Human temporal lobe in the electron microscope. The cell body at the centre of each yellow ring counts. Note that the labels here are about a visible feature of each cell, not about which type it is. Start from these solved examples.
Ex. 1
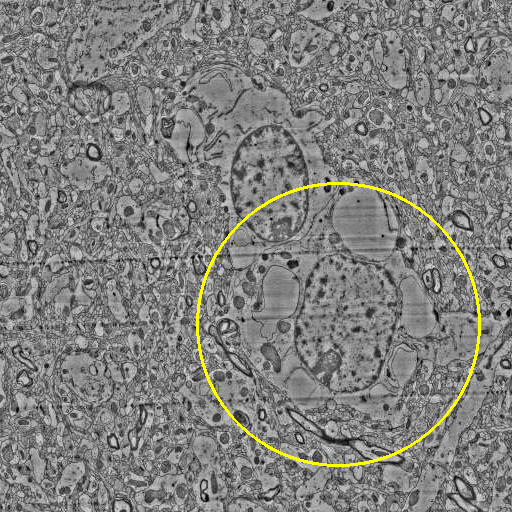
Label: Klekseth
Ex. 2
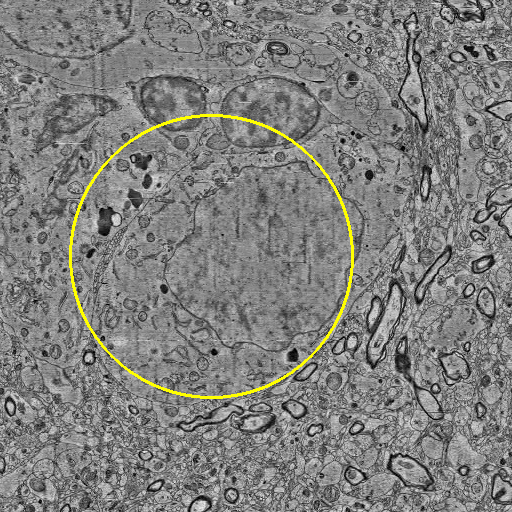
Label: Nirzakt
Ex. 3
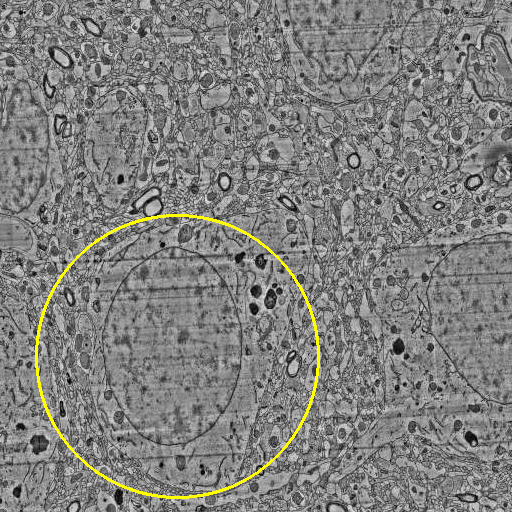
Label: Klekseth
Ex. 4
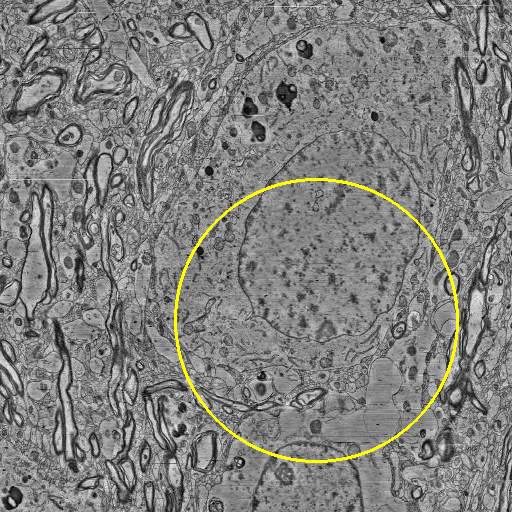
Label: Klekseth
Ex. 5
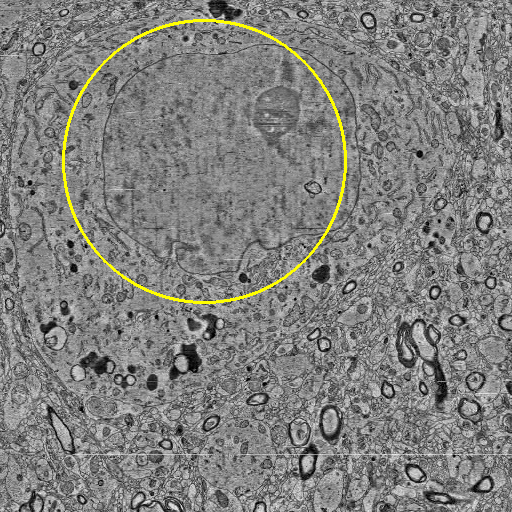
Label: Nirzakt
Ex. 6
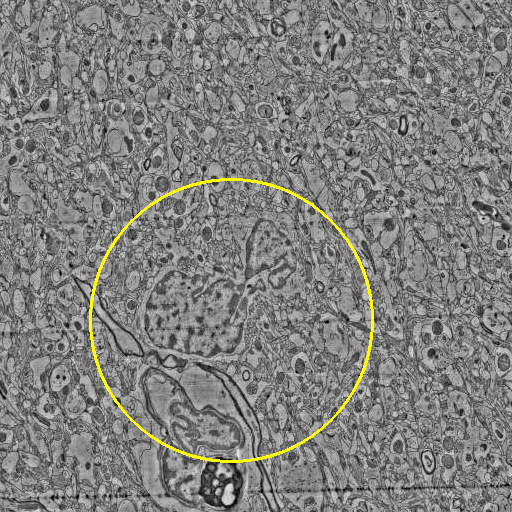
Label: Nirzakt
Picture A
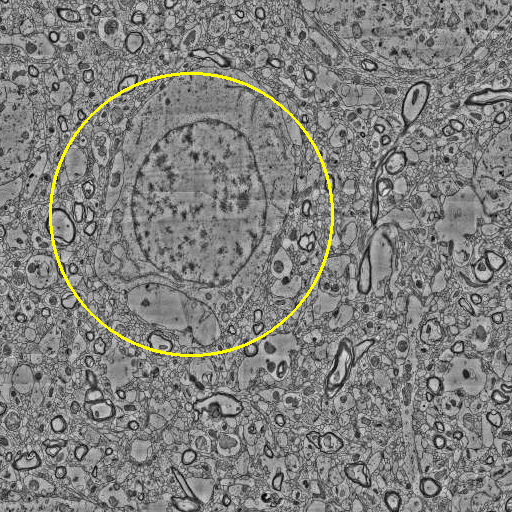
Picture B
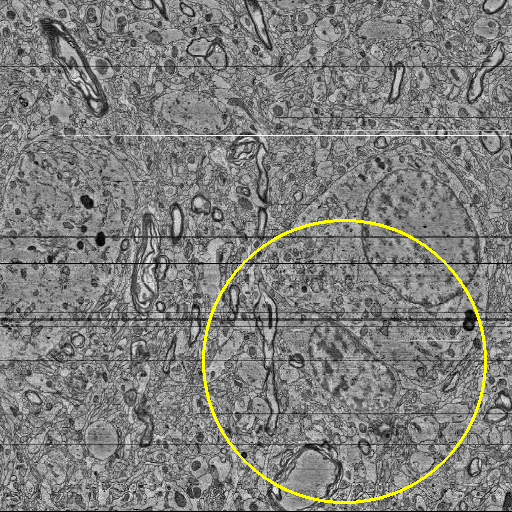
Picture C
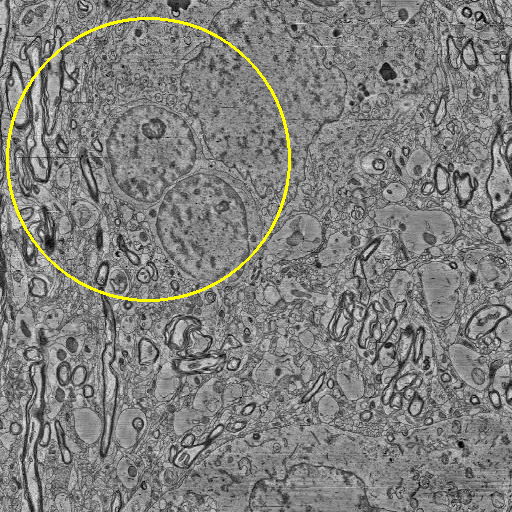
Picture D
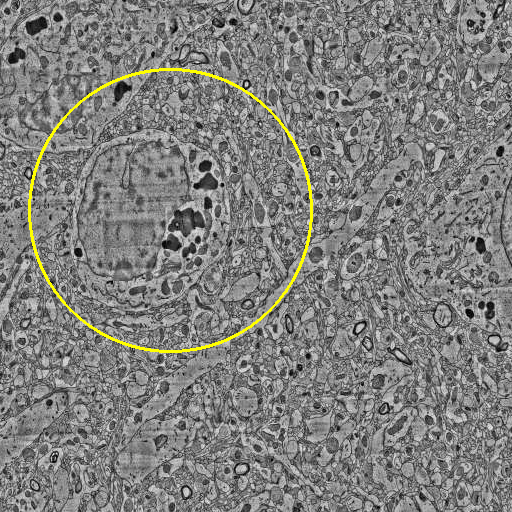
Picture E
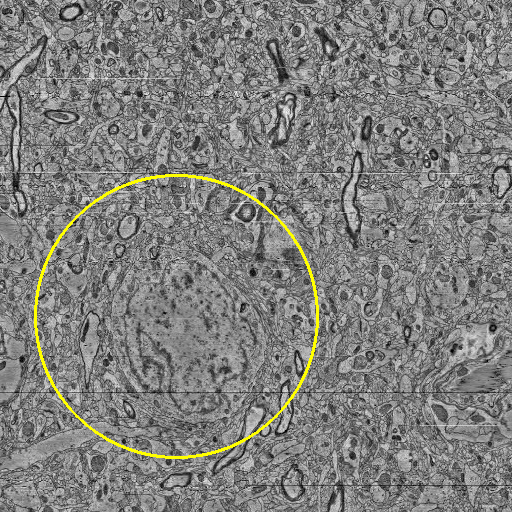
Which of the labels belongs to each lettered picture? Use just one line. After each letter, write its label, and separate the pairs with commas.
A Klekseth, B Klekseth, C Klekseth, D Nirzakt, E Nirzakt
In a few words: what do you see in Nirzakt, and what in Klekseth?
Nirzakt: deeply folded or indented nuclear envelopes; Klekseth: smooth nuclear envelopes without deep folds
